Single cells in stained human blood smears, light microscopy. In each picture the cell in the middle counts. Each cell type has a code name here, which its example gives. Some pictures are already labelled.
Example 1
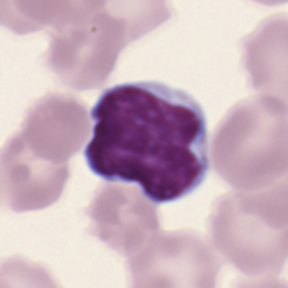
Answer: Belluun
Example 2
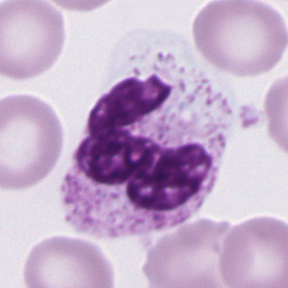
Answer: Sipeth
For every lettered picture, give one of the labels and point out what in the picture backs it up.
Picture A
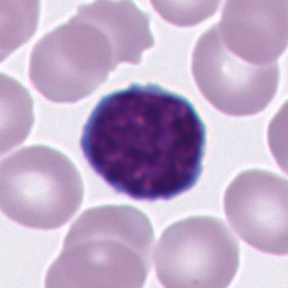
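Belluun. The thin rim of cytoplasm is blue.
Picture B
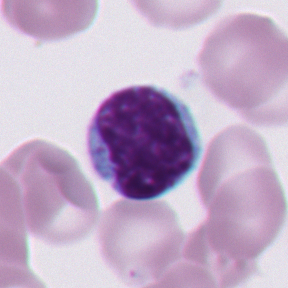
Belluun. The cytoplasm forms only a scant rim around the nucleus.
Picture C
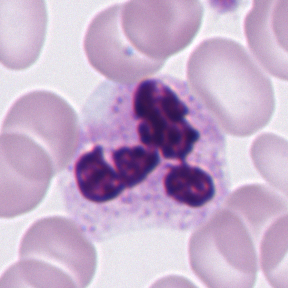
Sipeth. The nucleus is split into at least four separate lobes.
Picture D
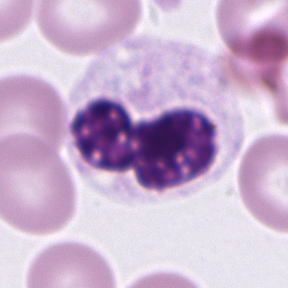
Sipeth. The cytoplasm is plentiful and widest above the nucleus.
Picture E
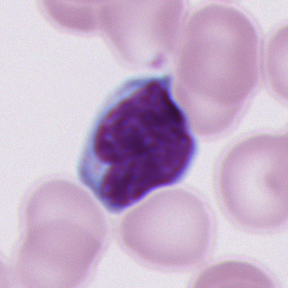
Belluun. The cytoplasm forms a thin rim that is widest on the left side of the cell.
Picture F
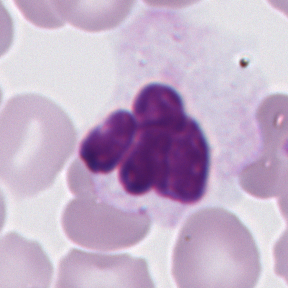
Sipeth. The cytoplasm is abundant and pale pinkish-lilac.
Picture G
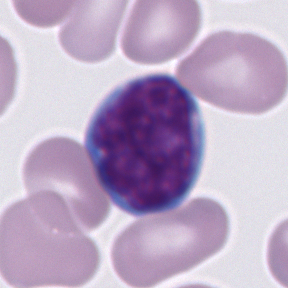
Belluun. The cytoplasm forms only a thin rim around the nucleus.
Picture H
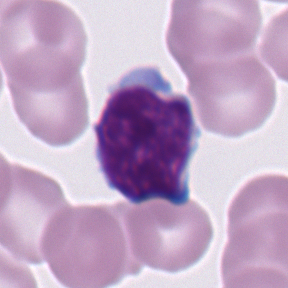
Belluun. The cytoplasm is scant and shows mainly as a small cap at the top edge of the cell.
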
